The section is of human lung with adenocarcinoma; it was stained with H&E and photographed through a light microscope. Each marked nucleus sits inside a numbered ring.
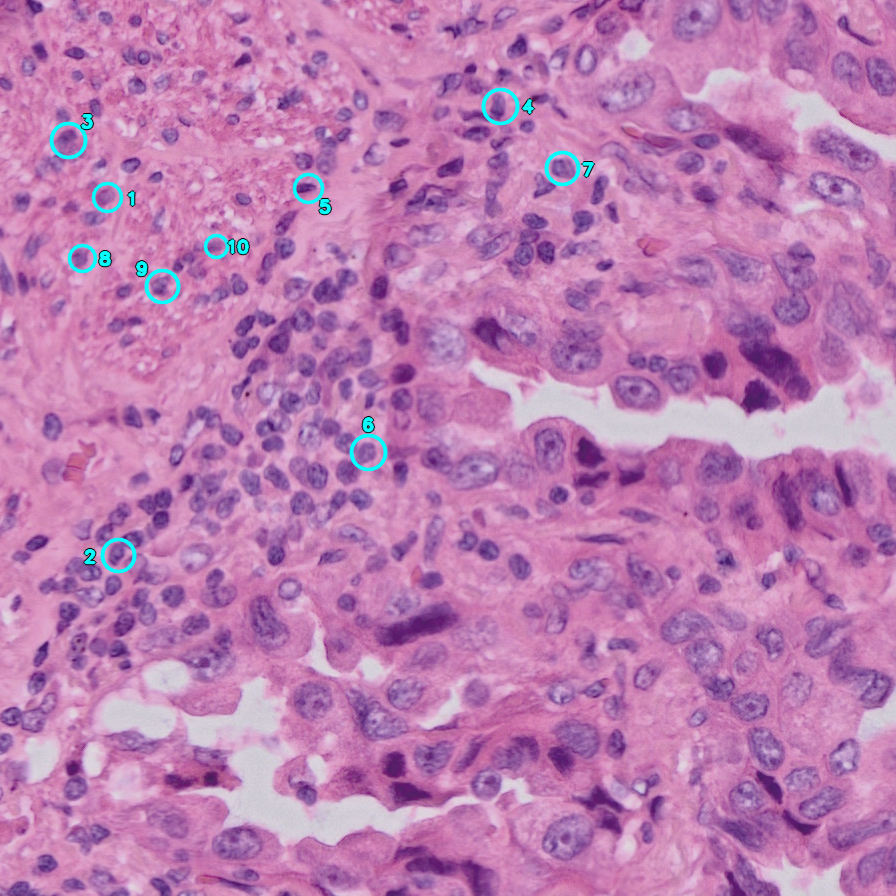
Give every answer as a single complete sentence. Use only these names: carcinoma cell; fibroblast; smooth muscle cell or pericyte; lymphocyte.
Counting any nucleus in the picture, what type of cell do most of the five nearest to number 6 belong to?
Lymphocytes account for more than half of the five nuclei nearest to number 6.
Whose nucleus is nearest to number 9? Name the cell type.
The cell nearest to number 9 is a smooth muscle cell or pericyte.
